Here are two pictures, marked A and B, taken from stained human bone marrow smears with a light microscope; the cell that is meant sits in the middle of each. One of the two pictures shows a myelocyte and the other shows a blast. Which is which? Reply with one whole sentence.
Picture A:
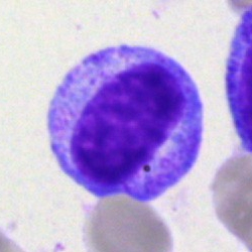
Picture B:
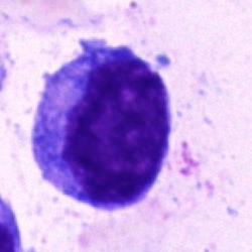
Picture A shows a myelocyte and picture B shows a blast.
